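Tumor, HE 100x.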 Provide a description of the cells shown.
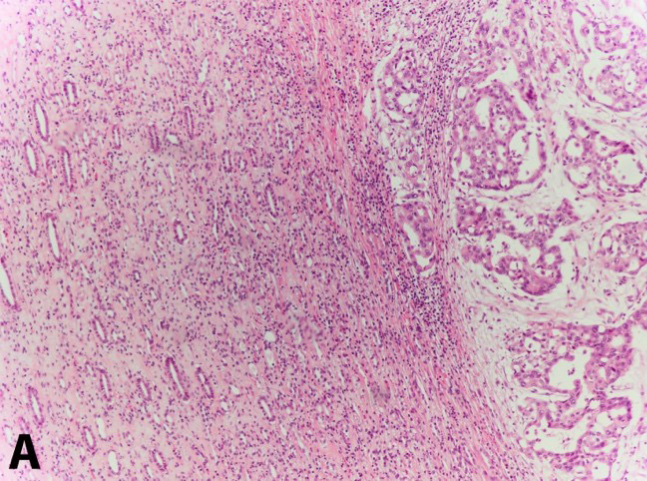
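On the left lies tissue with scattered small tubules cut in cross and long section, set in a cellular stroma. A dense band of fibrous tissue crowded with small dark inflammatory cells runs down the middle. On the right, nests and tubules of larger pale tumour cells lie within loose, pale fibrous stroma.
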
